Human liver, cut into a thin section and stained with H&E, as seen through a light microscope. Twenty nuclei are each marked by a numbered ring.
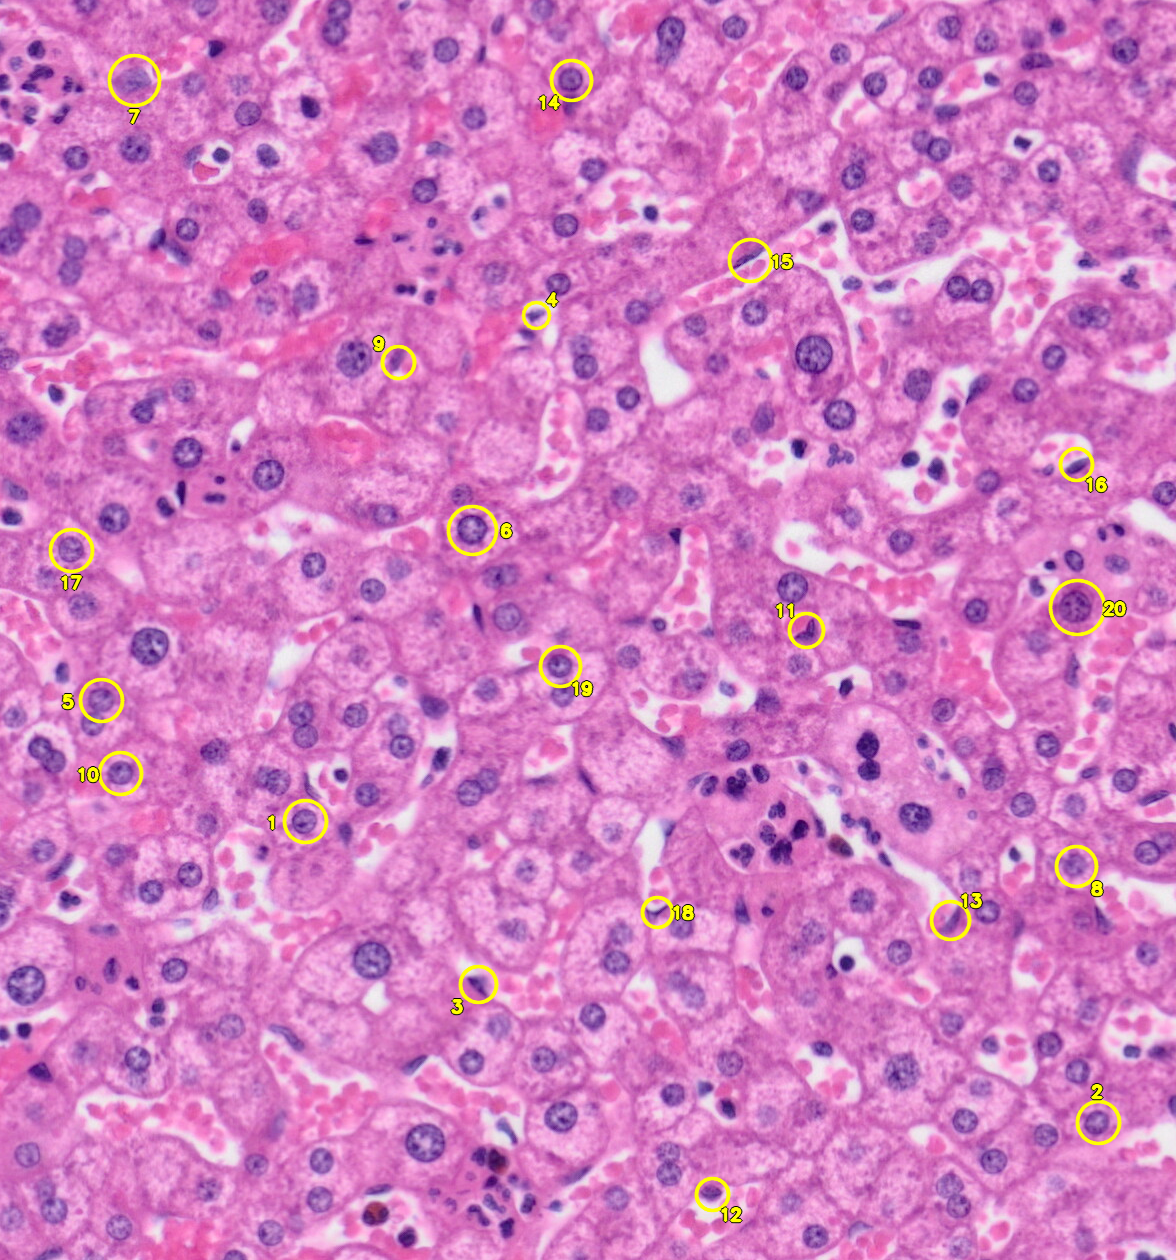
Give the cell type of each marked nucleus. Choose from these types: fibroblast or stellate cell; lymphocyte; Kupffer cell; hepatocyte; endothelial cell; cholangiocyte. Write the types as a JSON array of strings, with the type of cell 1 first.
["hepatocyte", "hepatocyte", "endothelial cell", "lymphocyte", "hepatocyte", "hepatocyte", "endothelial cell", "hepatocyte", "endothelial cell", "hepatocyte", "endothelial cell", "Kupffer cell", "endothelial cell", "hepatocyte", "endothelial cell", "endothelial cell", "hepatocyte", "endothelial cell", "hepatocyte", "hepatocyte"]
